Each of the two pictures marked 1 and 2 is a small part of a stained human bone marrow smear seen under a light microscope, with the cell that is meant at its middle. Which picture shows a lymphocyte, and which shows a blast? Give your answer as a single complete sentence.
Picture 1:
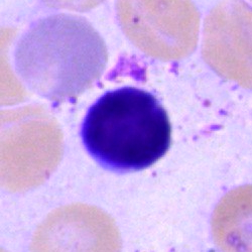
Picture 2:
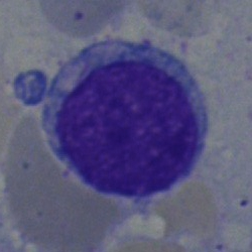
Picture 1 is of a lymphocyte, and picture 2 is of a blast.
